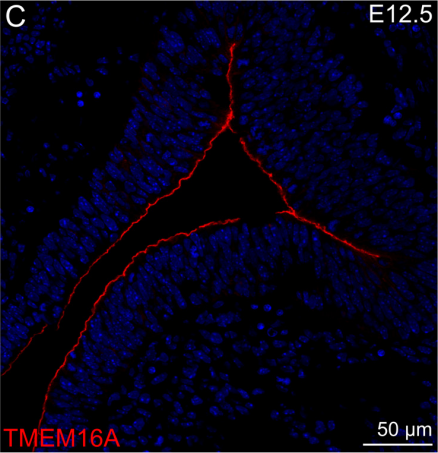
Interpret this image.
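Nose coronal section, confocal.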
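The blue nuclei are crowded and stacked at many levels, so the sheet looks many cells deep even though it is a single epithelium. A thin, sharp red line runs along the free luminal surface of the epithelium on both sides of the cleft. The red line follows the lumen into each of its branches, and it is confined to the very surface, not reaching down among the nuclei. Around the epithelium lies looser tissue with more scattered nuclei.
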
